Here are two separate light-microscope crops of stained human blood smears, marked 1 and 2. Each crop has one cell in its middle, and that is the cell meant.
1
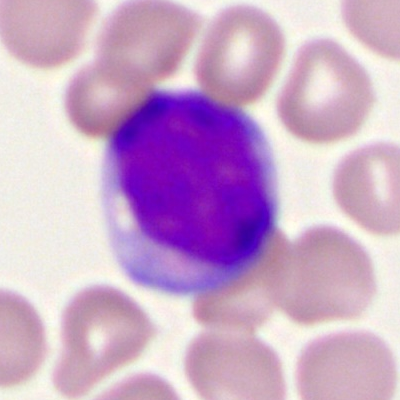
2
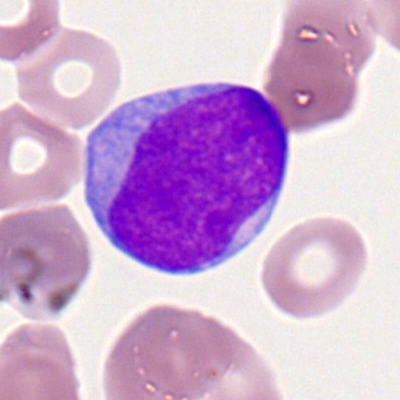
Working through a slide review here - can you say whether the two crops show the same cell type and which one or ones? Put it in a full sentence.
Yes, the two crops are alike in showing myeloblasts.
